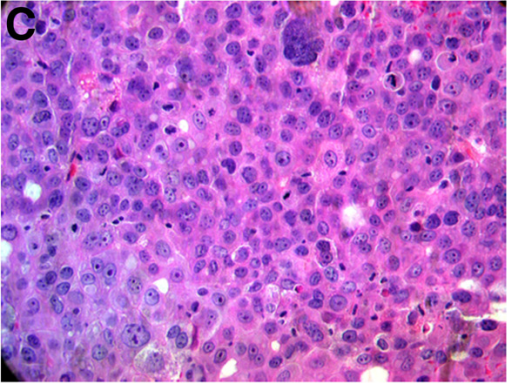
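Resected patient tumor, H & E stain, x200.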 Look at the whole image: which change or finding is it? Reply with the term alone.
Nuclear atypia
